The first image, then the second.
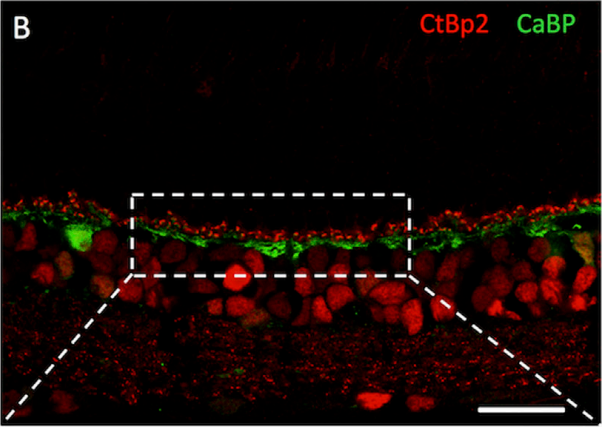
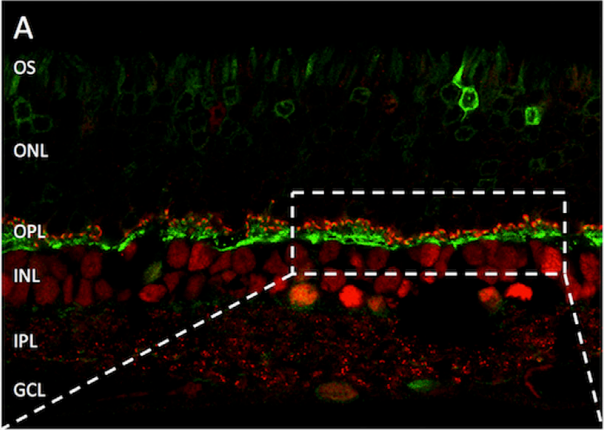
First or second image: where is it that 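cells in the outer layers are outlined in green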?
The second image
